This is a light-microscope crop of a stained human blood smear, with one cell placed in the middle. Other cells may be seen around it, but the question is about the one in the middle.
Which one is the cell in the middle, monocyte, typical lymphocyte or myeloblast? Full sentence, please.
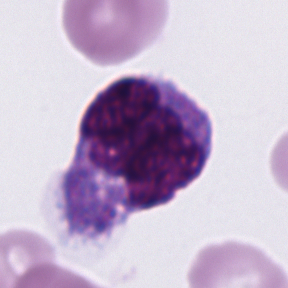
Classification of the middle cell gives a monocyte.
